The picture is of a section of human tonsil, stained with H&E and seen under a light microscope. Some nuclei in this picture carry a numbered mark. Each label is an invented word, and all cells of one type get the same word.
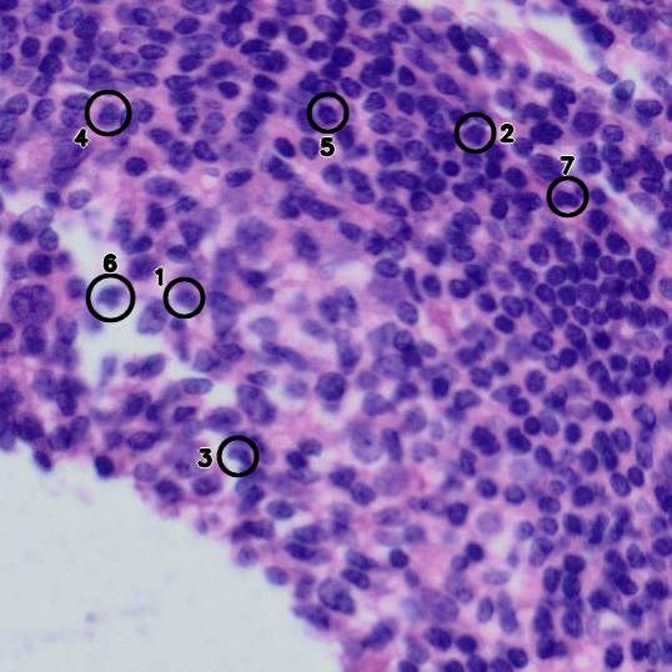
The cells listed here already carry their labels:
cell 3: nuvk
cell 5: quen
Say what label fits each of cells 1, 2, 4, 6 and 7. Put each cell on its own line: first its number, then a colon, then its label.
1: nuvk
2: quen
4: quen
6: nuvk
7: quen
